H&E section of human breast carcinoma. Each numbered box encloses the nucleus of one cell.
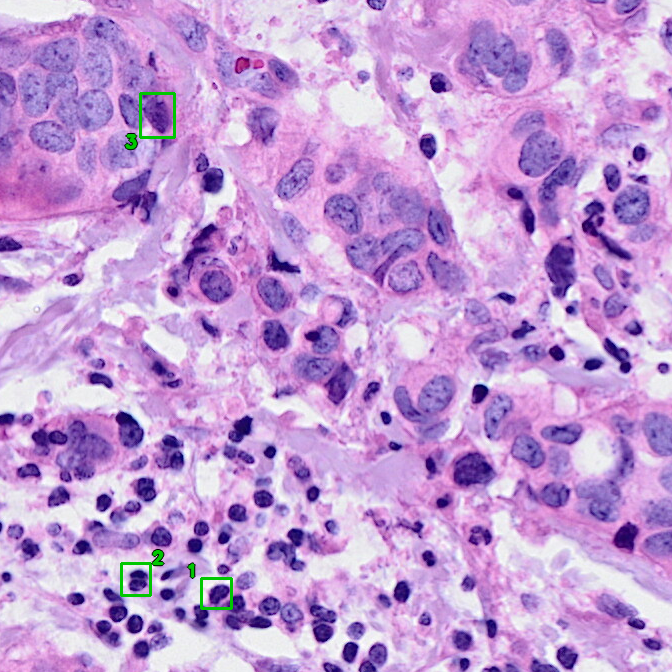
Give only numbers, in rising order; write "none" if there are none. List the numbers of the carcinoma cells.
3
